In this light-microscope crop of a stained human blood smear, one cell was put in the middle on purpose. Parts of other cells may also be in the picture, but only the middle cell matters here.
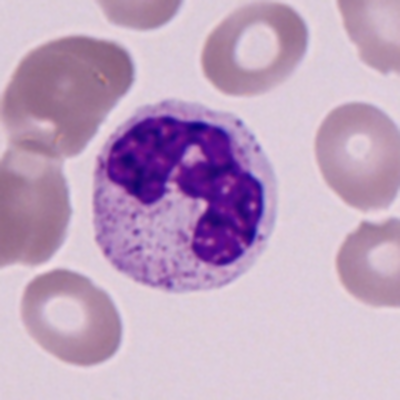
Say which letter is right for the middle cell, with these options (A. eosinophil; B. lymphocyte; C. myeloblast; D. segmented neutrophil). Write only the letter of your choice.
D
